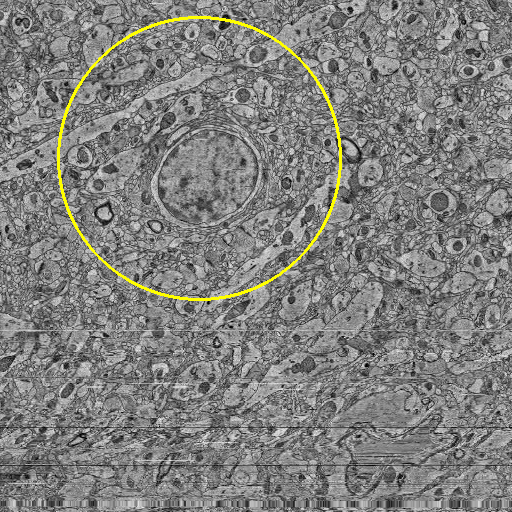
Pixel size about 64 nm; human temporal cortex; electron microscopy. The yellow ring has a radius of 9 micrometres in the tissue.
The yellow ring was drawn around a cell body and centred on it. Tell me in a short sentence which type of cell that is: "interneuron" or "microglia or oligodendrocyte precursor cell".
The cell at the ring's centre is a microglial cell or oligodendrocyte precursor cell.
